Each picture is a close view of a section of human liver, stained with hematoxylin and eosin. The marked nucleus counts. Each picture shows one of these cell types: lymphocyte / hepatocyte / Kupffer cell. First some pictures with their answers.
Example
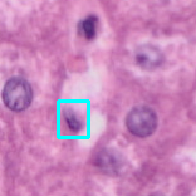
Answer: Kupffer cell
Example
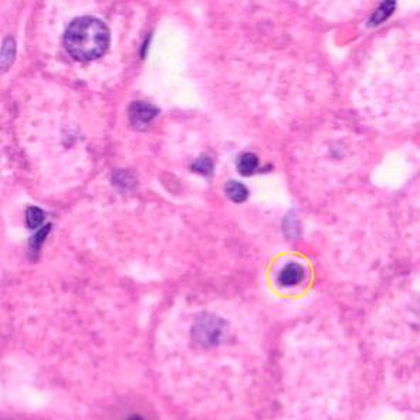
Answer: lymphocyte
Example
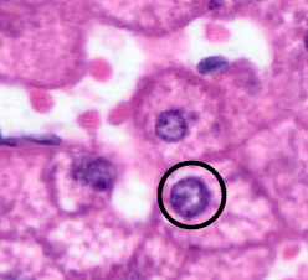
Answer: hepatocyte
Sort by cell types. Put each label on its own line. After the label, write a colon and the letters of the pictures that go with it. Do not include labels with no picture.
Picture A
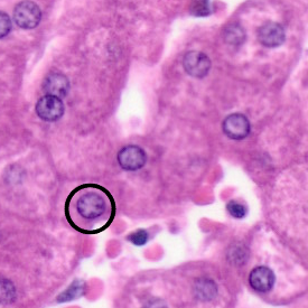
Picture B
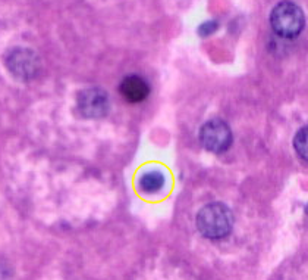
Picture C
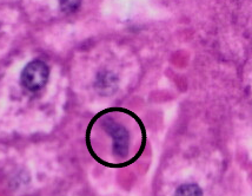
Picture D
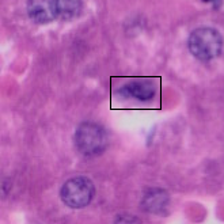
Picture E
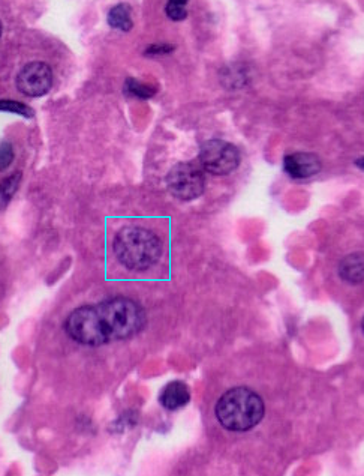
lymphocyte: B
hepatocyte: A, E
Kupffer cell: C, D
